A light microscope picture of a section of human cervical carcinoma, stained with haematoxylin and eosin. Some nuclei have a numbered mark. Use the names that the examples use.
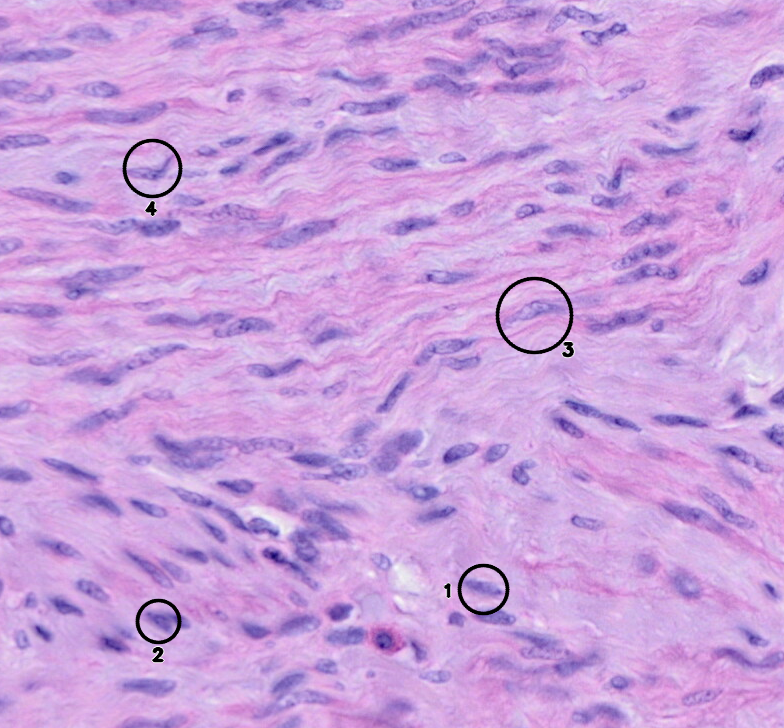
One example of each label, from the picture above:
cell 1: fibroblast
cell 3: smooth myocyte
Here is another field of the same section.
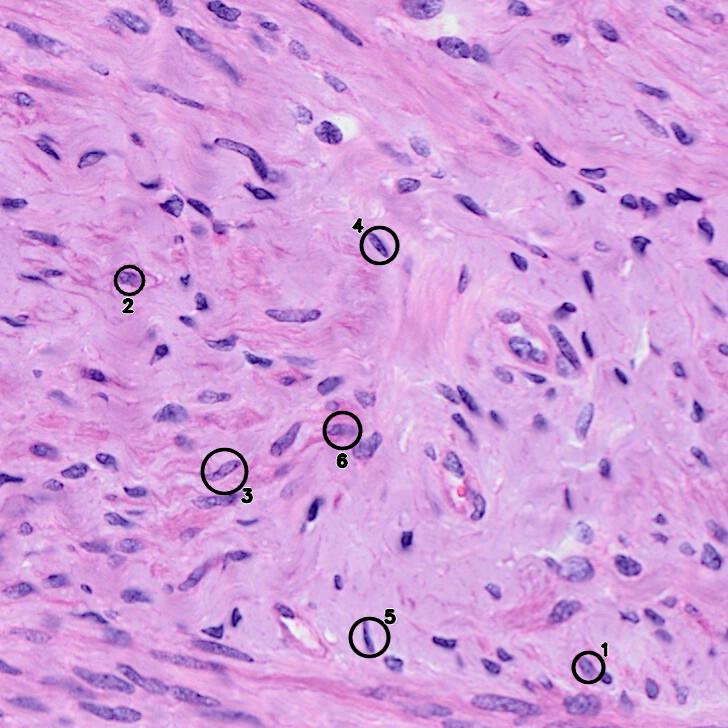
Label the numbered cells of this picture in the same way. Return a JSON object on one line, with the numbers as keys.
{"1": "smooth myocyte", "2": "smooth myocyte", "3": "smooth myocyte", "4": "fibroblast", "5": "fibroblast", "6": "smooth myocyte"}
